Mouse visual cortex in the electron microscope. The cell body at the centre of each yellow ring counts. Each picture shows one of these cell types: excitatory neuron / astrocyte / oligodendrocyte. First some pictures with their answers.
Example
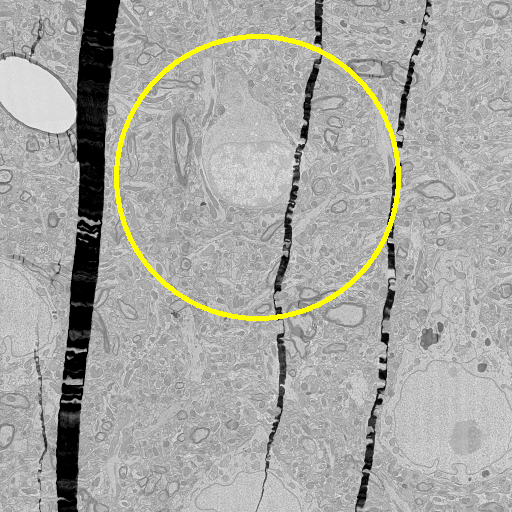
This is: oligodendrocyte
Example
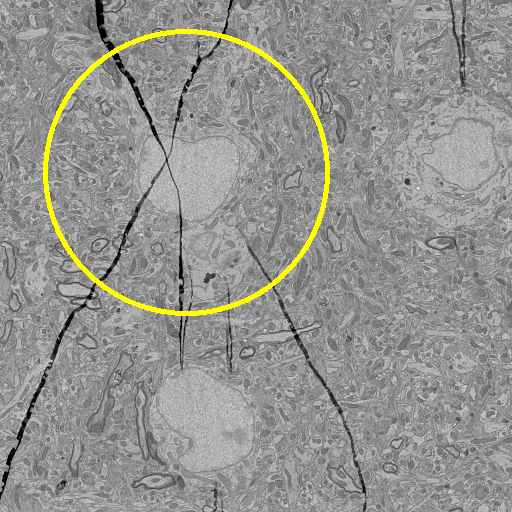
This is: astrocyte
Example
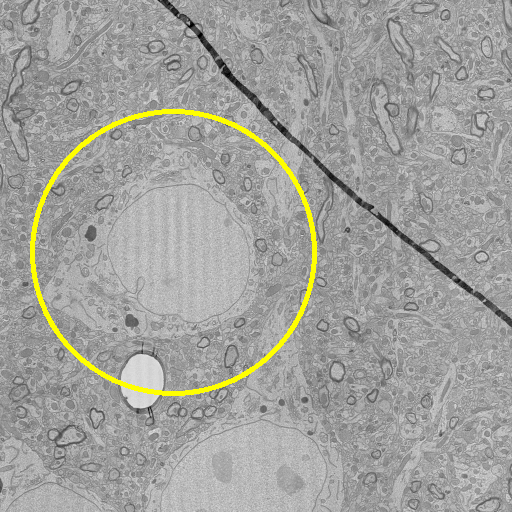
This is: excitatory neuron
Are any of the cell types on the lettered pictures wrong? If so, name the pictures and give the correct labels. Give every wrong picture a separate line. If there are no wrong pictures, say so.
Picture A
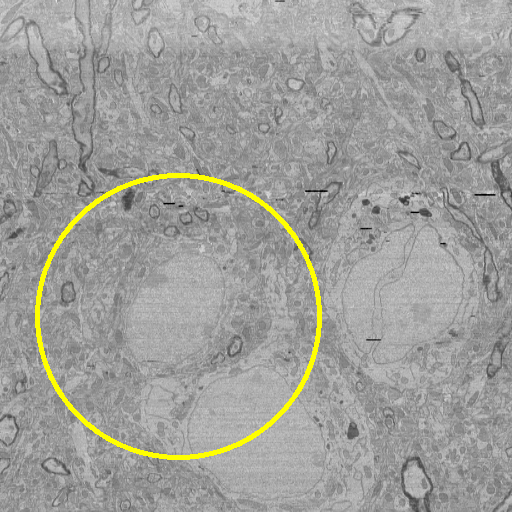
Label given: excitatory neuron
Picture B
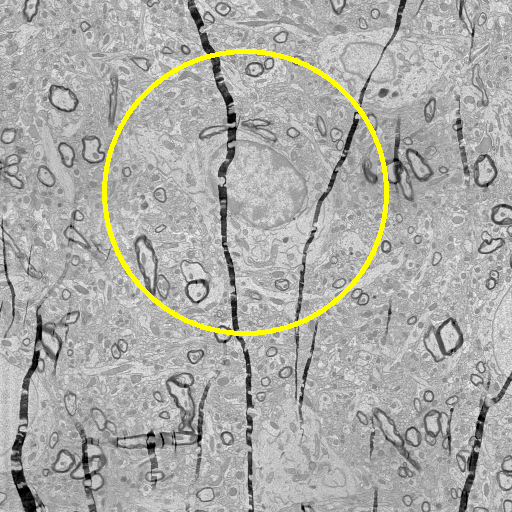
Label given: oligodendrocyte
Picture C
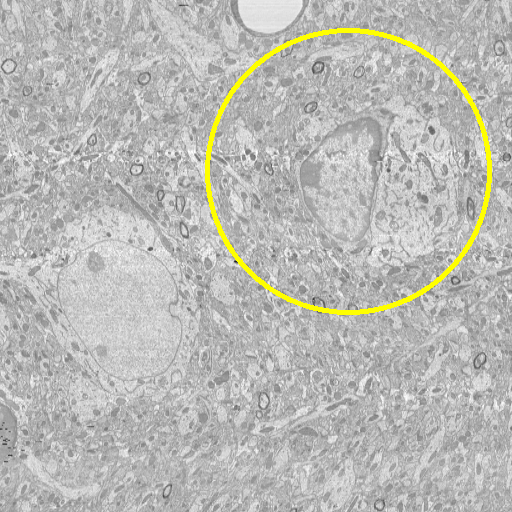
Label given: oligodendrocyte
A is labelled excitatory neuron; correct label: astrocyte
